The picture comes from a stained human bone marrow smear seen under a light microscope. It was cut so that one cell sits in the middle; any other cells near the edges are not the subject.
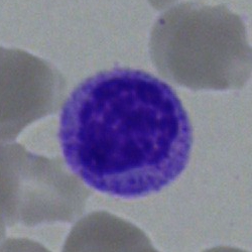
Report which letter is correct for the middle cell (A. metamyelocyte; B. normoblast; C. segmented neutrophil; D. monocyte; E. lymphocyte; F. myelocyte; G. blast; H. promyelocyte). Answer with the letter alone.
F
